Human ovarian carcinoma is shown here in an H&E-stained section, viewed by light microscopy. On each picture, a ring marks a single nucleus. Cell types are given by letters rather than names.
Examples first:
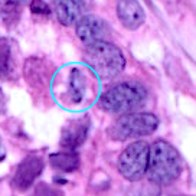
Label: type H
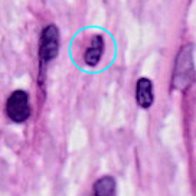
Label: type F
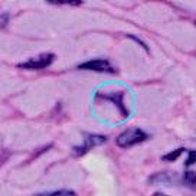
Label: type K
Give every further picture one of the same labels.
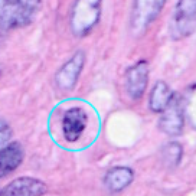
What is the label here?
type F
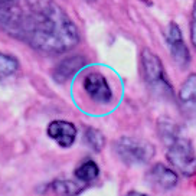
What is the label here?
type F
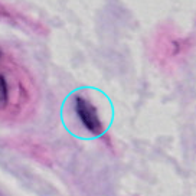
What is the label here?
type K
